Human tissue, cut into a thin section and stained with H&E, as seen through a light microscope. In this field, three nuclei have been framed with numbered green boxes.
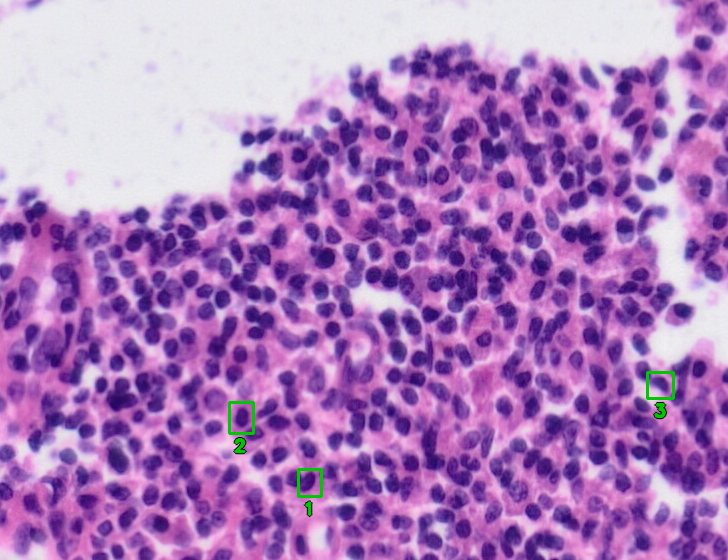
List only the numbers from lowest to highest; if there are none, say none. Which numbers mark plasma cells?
1, 2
